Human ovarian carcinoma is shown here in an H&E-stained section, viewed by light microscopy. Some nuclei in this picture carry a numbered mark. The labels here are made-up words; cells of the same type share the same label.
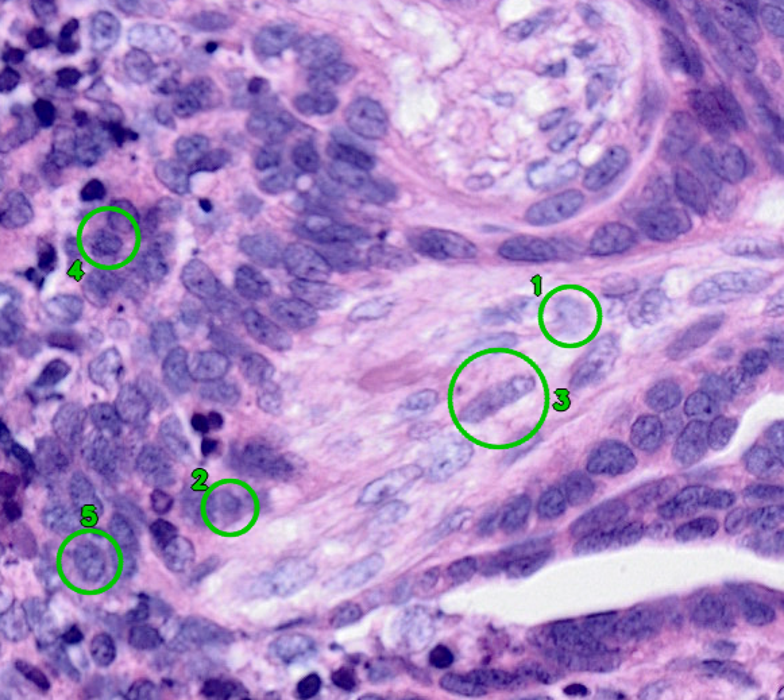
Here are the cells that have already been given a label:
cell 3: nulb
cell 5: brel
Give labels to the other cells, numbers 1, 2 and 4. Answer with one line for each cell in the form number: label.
1: nulb
2: brel
4: brel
